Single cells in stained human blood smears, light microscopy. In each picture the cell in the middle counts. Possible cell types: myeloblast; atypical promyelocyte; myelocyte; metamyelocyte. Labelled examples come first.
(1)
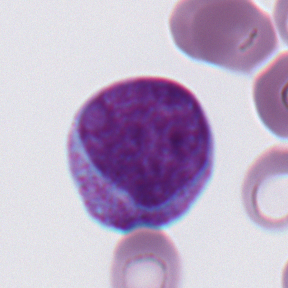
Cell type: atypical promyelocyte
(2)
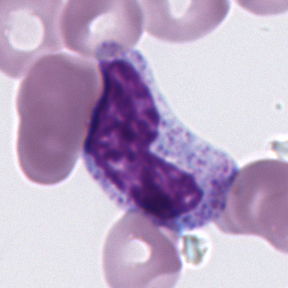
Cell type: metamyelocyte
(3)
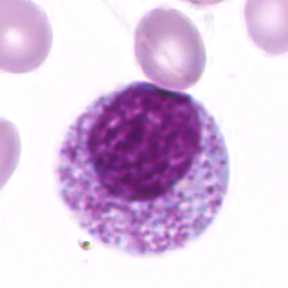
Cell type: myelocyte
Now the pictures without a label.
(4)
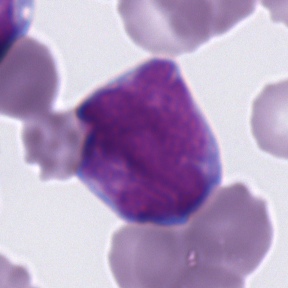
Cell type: myeloblast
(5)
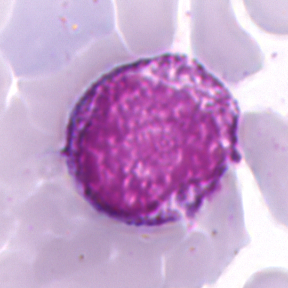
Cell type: myelocyte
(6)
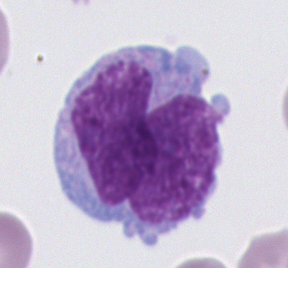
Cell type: atypical promyelocyte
